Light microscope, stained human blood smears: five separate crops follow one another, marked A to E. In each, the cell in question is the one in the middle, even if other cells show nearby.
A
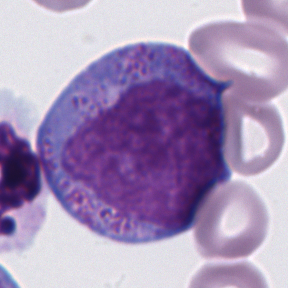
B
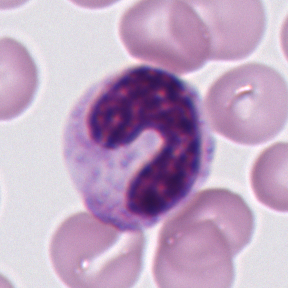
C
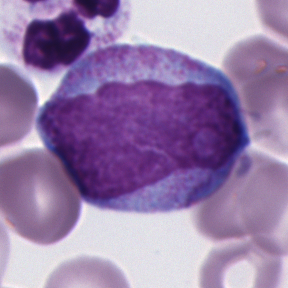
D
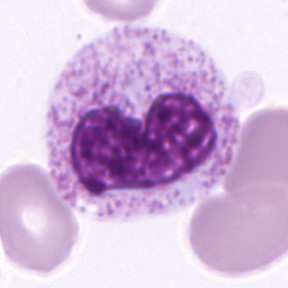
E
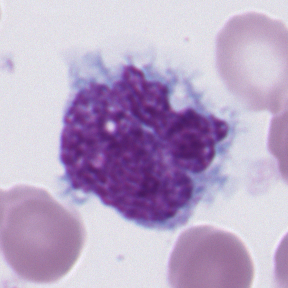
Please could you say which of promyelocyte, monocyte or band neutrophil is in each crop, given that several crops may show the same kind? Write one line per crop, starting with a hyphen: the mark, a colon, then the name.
- A: promyelocyte
- B: band neutrophil
- C: promyelocyte
- D: band neutrophil
- E: monocyte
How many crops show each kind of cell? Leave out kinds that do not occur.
promyelocyte: 2
band neutrophil: 2
monocyte: 1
